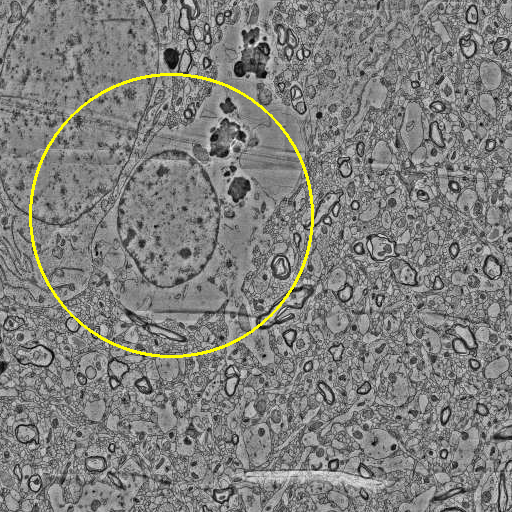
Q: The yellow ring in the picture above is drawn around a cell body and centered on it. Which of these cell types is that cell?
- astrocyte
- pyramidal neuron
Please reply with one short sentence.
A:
The cell body at the ring's center belongs to an astrocyte.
